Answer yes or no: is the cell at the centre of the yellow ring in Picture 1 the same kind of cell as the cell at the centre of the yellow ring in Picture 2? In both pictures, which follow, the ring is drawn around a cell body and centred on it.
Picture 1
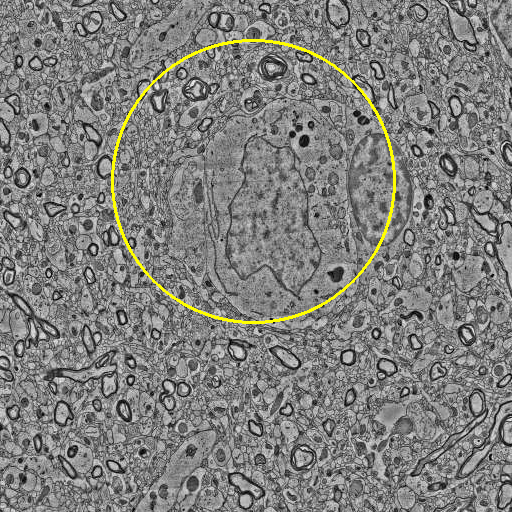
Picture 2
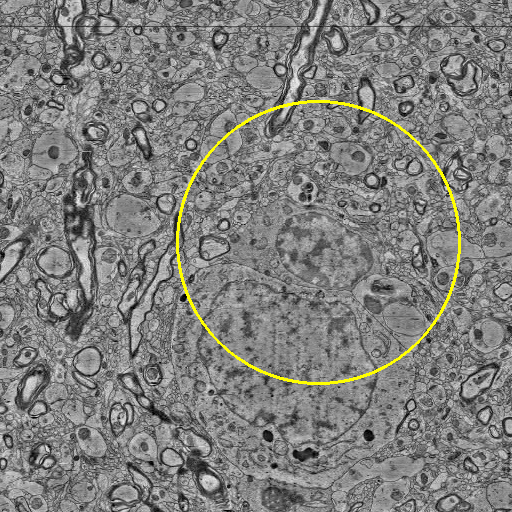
no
